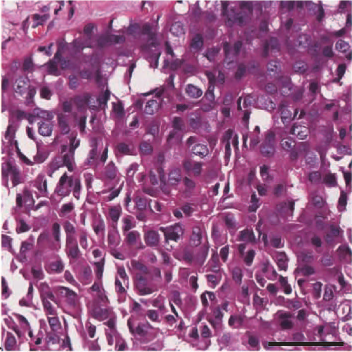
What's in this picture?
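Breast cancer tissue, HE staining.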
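The nuclei are enlarged, dark purple and vary in size and shape, several showing coarse chromatin and nucleoli. The cytoplasm is scant to moderate and stains purplish-pink. Scattered small clear spaces lie among the cells, and no orderly gland formation is evident.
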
